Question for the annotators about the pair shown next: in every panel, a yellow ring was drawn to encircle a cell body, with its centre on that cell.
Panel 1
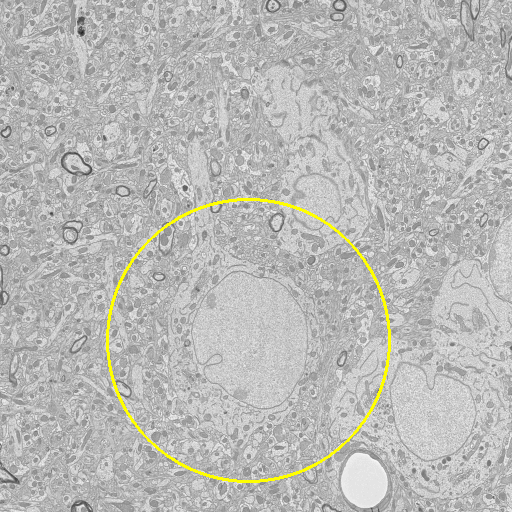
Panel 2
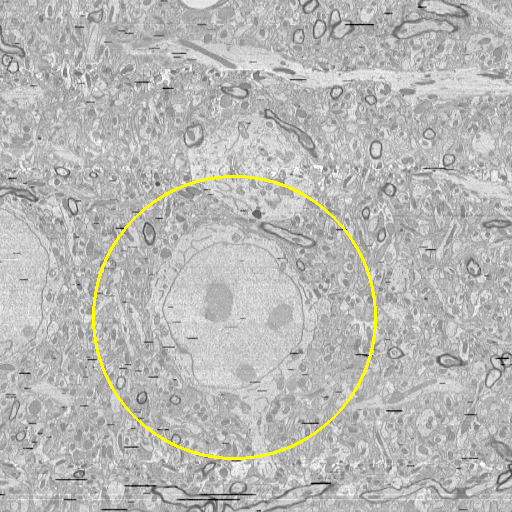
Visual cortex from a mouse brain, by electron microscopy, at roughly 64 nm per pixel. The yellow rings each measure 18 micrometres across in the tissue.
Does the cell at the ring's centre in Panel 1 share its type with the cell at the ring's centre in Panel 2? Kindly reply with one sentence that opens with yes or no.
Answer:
Yes, in Panels 1 and 2 the cells at the ring centres belong to a single type.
